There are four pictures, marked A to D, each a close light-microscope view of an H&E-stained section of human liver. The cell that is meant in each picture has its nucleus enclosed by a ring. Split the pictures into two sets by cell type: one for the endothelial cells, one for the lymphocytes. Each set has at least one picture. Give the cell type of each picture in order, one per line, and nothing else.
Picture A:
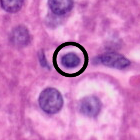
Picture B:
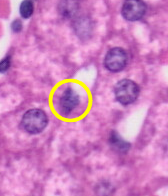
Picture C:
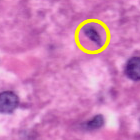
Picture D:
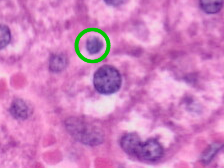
lymphocyte
endothelial cell
endothelial cell
lymphocyte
